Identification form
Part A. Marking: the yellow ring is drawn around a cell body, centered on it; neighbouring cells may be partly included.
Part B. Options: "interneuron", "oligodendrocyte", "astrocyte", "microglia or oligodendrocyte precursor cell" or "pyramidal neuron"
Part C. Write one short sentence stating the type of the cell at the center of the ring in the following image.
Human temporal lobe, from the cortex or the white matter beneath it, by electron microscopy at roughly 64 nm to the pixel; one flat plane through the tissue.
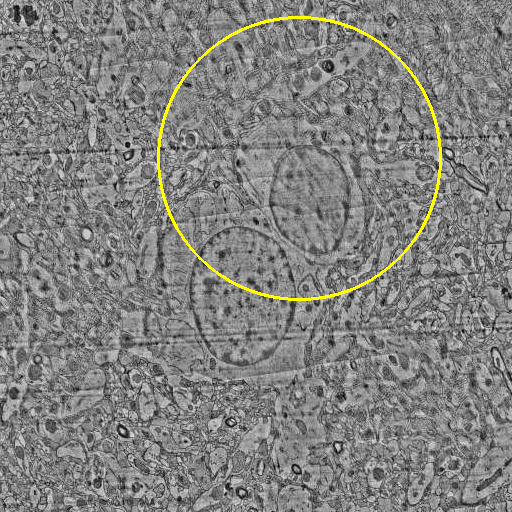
The center of the ring holds an astrocyte.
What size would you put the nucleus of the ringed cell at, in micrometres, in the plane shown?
The nucleus comes to roughly 7 by 5 micrometres in this plane.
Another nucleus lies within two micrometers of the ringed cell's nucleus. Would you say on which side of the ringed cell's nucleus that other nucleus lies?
That other nucleus appears to the lower left of it.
